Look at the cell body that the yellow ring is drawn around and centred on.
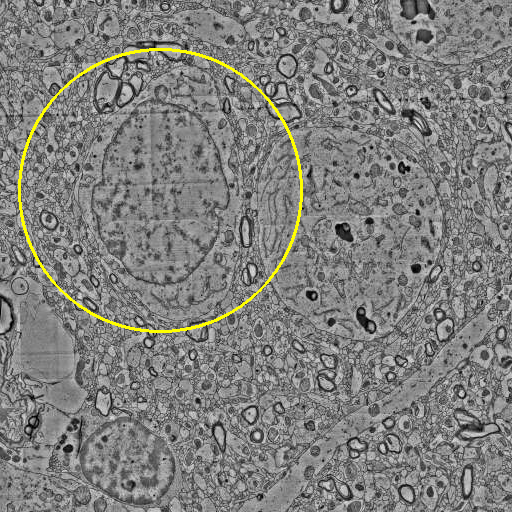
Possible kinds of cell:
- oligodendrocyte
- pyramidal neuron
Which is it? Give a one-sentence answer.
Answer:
The centred cell body is that of a pyramidal neuron.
